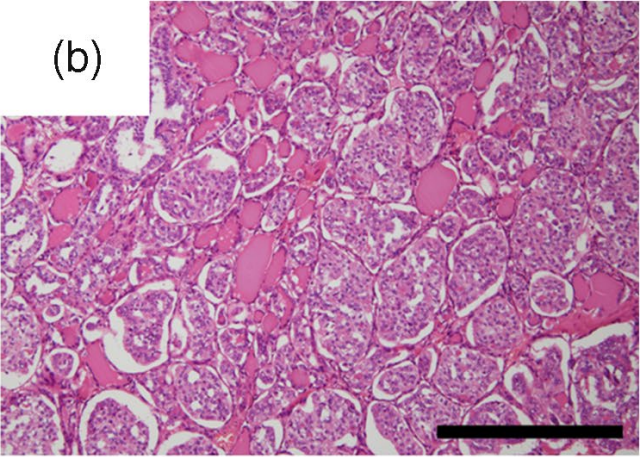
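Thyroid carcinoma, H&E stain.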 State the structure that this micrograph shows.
Small solid or insular structures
